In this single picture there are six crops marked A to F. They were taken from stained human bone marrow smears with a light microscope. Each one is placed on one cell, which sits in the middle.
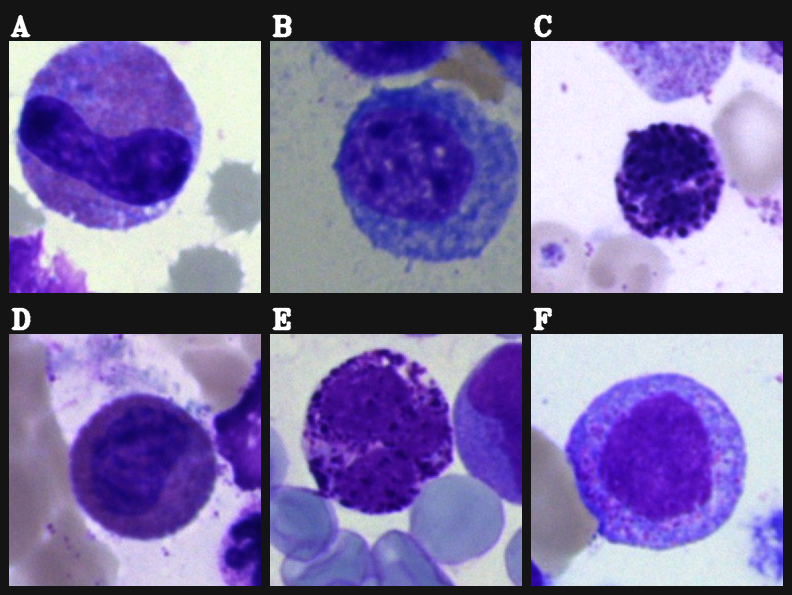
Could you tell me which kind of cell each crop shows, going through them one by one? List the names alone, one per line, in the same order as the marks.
eosinophil
promyelocyte
basophil
eosinophil
basophil
promyelocyte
